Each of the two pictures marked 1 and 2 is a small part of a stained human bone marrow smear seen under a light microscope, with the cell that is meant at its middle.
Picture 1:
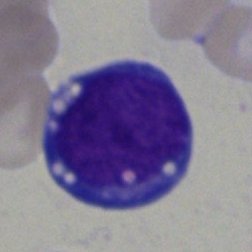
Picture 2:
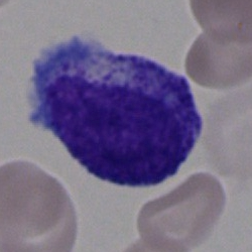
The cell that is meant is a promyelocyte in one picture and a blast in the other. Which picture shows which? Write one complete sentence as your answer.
Picture 1 is of a blast, and picture 2 is of a promyelocyte.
